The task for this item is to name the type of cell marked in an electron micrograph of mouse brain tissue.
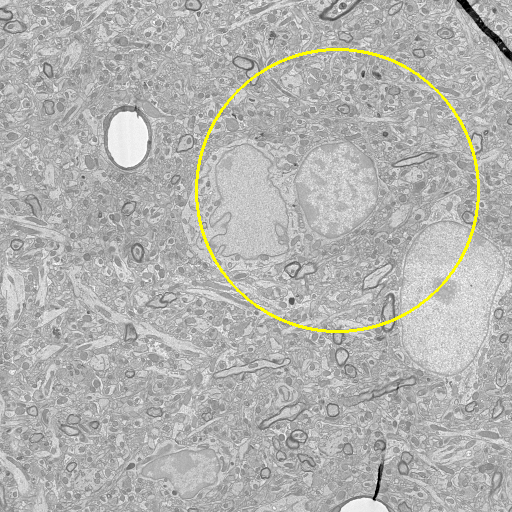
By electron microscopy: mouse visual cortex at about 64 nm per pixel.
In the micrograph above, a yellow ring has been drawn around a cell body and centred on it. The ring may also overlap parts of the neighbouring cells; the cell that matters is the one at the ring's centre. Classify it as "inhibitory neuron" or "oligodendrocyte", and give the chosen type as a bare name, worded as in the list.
oligodendrocyte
